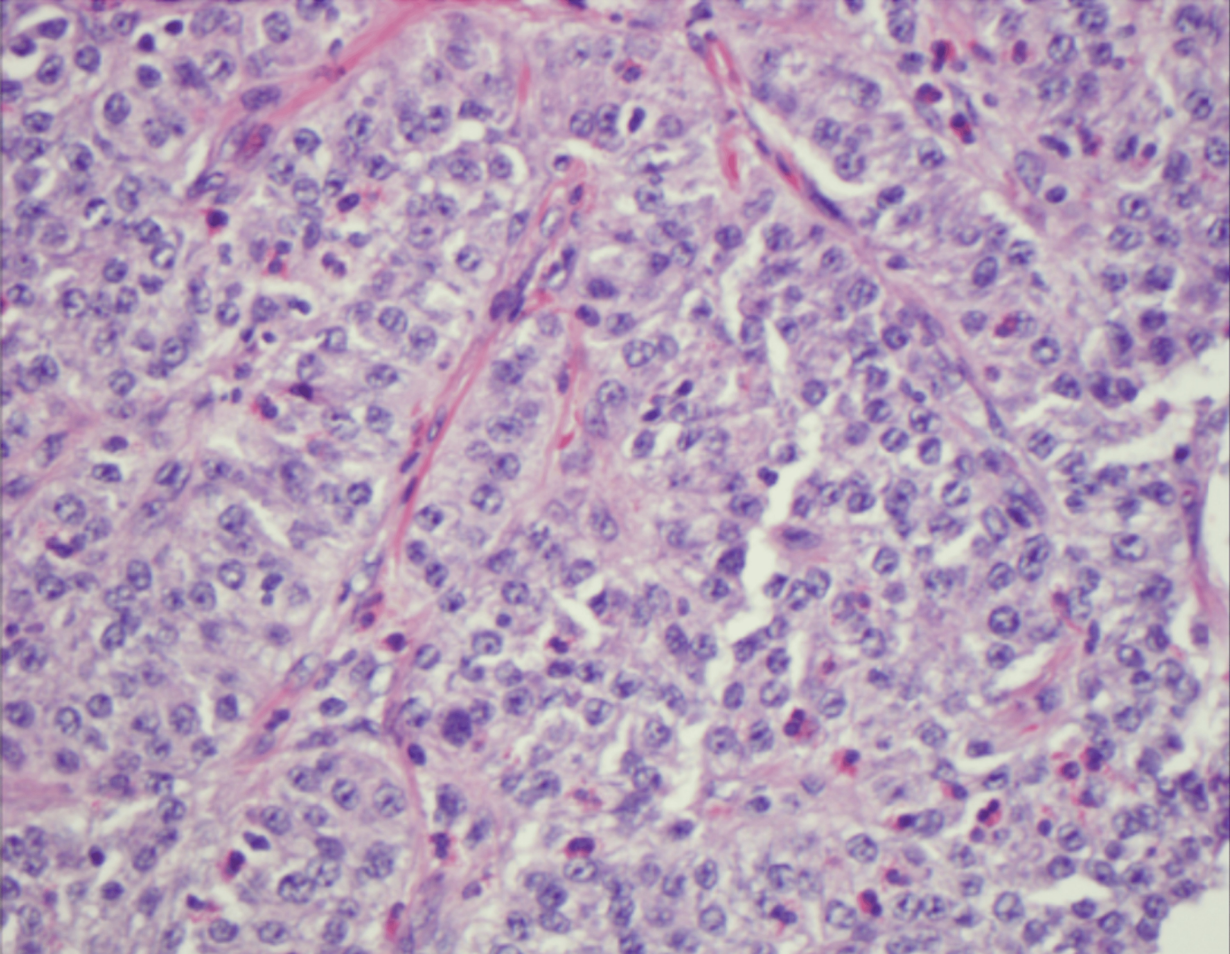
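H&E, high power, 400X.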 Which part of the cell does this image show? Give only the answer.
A: Finely dispersed (“salt and pepper”) chromatin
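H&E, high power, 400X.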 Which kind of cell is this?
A: neuroendocrine cells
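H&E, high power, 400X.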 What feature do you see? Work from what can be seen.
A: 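Thin pink fibrovascular septa divide the tumor cells into nests and cords. The septa carry elongated spindle nuclei. Tumor cells fill the spaces between septa in solid groups.
Hence: nested and trabecular architecture.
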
